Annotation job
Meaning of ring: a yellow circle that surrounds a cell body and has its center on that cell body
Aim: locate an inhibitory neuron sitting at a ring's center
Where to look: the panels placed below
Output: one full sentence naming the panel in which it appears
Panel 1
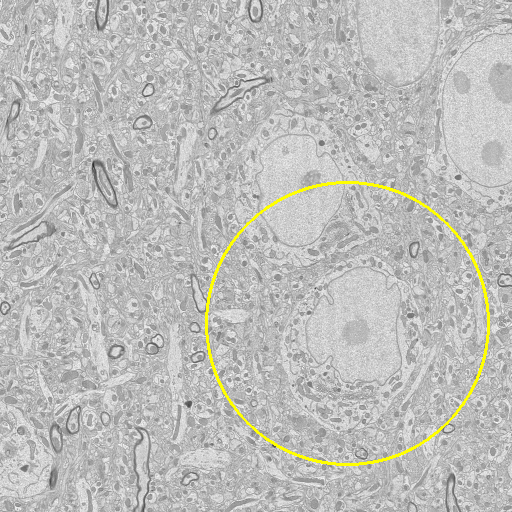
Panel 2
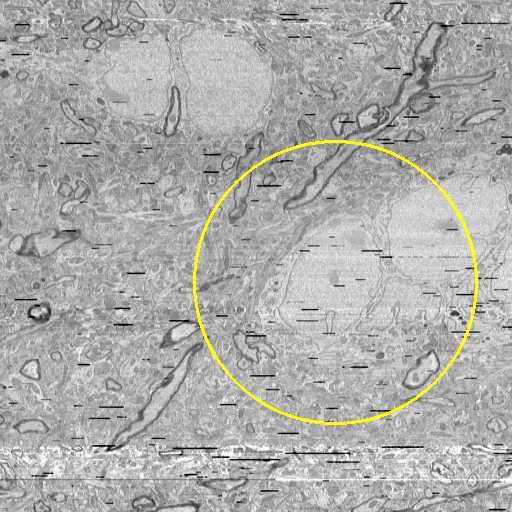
The cell at the center of the ring in panel 1 is the one sought.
